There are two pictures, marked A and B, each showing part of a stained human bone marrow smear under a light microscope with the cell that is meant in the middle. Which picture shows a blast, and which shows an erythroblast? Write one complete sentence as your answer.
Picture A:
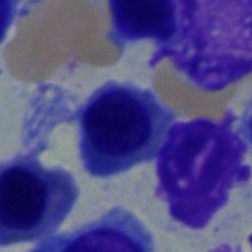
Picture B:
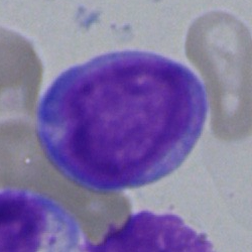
Picture B shows a blast, while picture A shows an erythroblast.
